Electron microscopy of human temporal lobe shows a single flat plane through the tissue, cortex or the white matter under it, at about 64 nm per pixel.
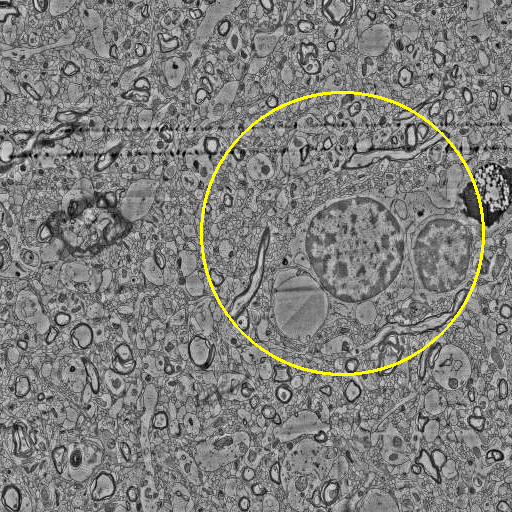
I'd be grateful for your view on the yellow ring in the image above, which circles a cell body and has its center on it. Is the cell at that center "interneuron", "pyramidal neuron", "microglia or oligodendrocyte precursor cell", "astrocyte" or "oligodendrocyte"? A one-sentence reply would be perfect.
The cell at the center of the yellow ring is a microglial cell or oligodendrocyte precursor cell.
